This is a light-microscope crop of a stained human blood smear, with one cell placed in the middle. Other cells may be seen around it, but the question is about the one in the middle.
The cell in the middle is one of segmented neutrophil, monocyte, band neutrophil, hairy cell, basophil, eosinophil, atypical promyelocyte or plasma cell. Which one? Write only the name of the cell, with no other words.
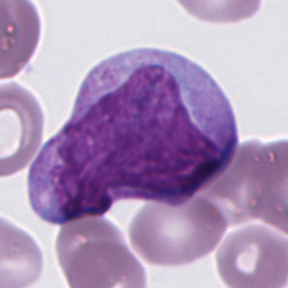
atypical promyelocyte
